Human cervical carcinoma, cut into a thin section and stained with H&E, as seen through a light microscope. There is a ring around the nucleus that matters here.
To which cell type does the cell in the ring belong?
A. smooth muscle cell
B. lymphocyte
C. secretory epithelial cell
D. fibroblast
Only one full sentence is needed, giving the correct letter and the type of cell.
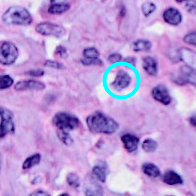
Given that the cell in the ring is a lymphocyte, option B is the correct one.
